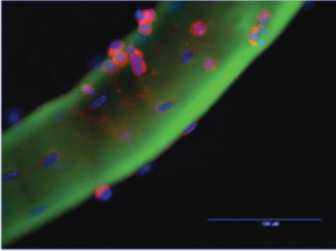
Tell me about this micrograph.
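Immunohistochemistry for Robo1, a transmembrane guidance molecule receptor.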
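This is a single isolated skeletal muscle fiber, seen as a broad green cylinder running diagonally across the field, with small satellite cells sitting on its surface. Elongated blue nuclei are scattered along the fiber. A cluster of small rounded cells, each with a blue nucleus, lies at the upper edge of the fiber. These cells are outlined by red signal, which is brightest at their cell borders, while the fiber and its other nuclei carry little red.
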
